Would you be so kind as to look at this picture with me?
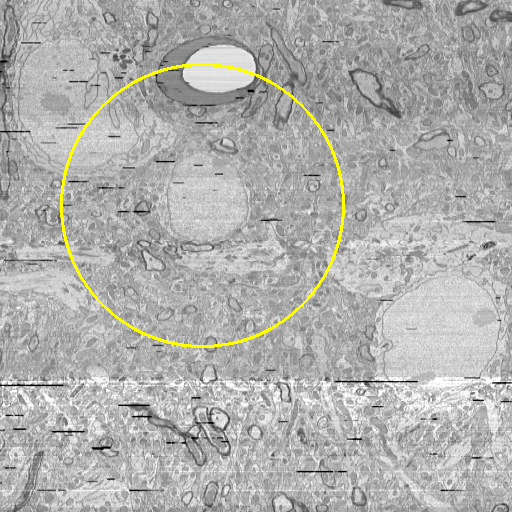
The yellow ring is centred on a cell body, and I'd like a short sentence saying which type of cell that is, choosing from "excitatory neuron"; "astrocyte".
The cell body in the ring belongs to an astrocyte.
